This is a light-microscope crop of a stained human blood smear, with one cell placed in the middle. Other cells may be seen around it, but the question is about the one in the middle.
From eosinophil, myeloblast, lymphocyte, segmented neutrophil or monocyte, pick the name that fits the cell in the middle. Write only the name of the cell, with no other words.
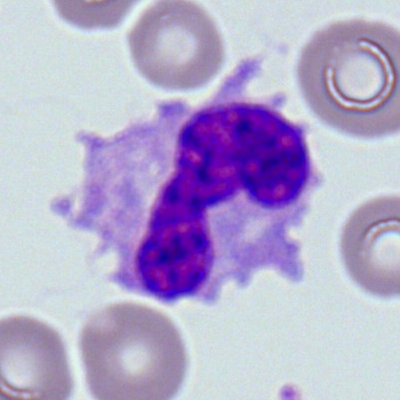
monocyte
